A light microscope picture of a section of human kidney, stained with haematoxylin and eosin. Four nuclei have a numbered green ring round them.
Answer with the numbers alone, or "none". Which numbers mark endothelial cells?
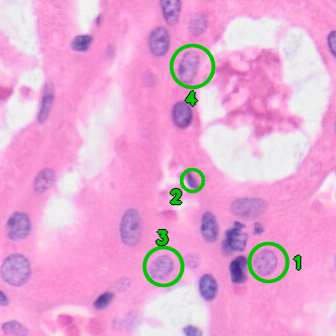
2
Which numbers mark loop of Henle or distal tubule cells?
3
